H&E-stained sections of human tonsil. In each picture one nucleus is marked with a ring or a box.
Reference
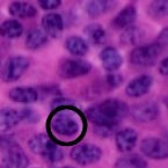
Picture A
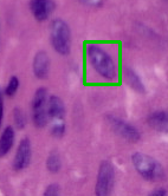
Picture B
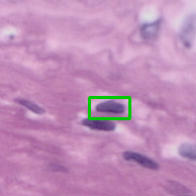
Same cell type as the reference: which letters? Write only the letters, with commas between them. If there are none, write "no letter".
no letter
